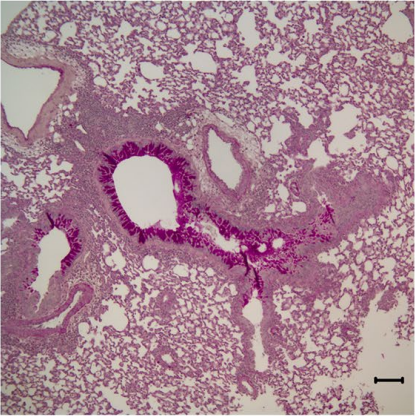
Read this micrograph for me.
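This is a section of lung in which several airways and their accompanying blood vessels lie within a background of thin-walled alveolar spaces. The epithelium lining the airways is folded and stained an intense magenta, strongest in the largest airway at the centre. Around the airways and vessels the tissue forms thick, densely cellular pink-purple cuffs that spread into the neighbouring parenchyma. Away from these cuffs the alveolar walls are thin and pale pink.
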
